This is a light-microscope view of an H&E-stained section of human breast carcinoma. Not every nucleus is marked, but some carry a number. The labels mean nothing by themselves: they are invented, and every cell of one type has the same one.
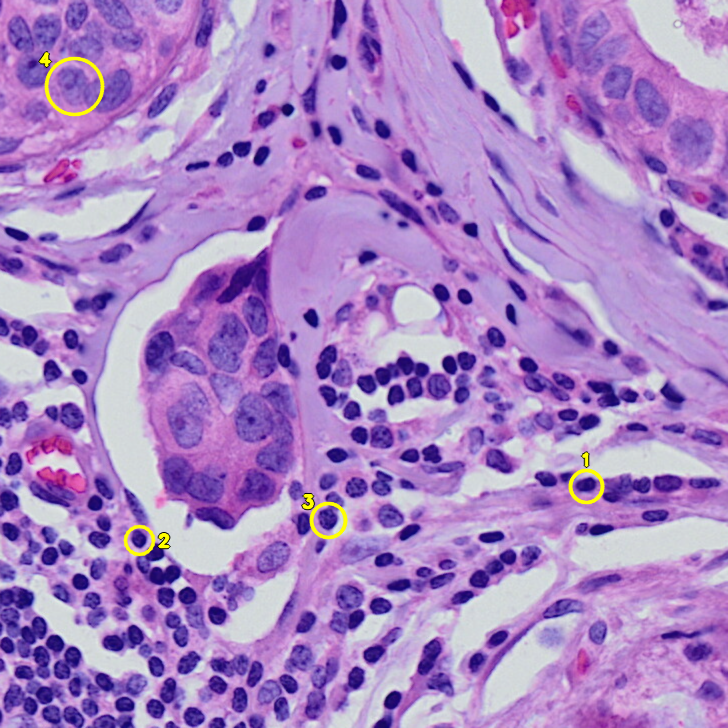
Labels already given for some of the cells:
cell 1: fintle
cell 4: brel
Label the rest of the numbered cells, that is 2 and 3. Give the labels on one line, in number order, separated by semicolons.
fintle; fintle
